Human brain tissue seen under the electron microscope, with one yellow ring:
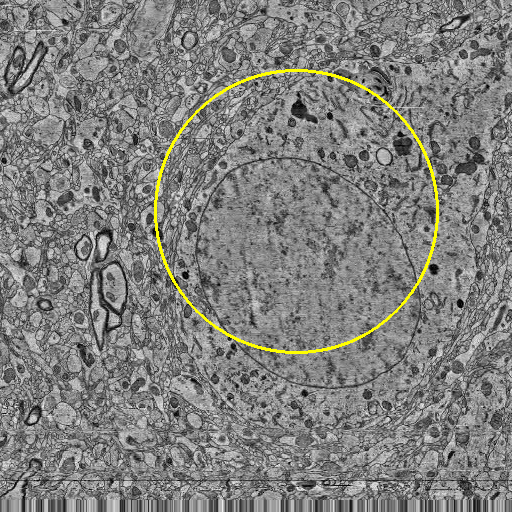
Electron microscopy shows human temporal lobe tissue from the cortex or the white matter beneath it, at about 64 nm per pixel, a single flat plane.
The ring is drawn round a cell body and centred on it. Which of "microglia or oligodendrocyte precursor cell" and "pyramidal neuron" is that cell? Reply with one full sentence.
The picture shows a pyramidal neuron at the very centre of the yellow ring.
